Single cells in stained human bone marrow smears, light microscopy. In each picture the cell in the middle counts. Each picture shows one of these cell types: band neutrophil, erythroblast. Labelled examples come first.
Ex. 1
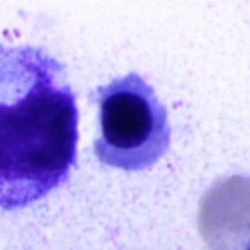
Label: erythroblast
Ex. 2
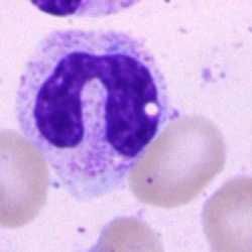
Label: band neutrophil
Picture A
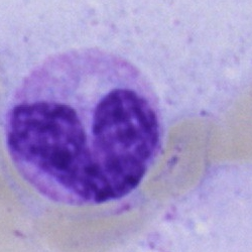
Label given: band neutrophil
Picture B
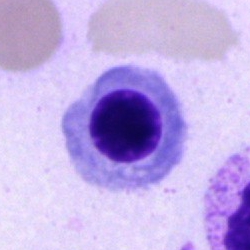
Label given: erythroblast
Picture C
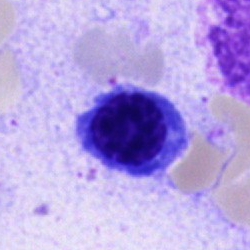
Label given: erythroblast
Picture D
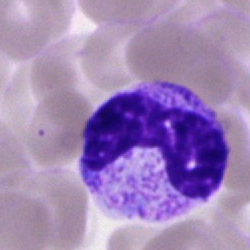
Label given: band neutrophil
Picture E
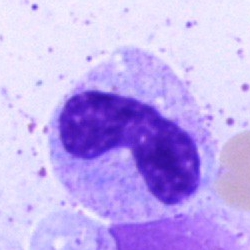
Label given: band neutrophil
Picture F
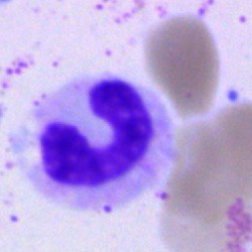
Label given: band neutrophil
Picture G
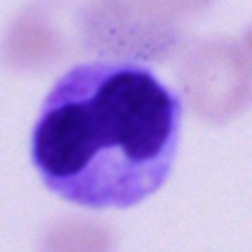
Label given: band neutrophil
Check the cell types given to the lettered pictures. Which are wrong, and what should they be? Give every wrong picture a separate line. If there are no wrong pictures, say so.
No label is wrong.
